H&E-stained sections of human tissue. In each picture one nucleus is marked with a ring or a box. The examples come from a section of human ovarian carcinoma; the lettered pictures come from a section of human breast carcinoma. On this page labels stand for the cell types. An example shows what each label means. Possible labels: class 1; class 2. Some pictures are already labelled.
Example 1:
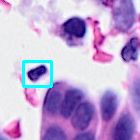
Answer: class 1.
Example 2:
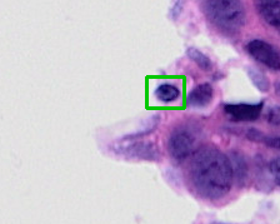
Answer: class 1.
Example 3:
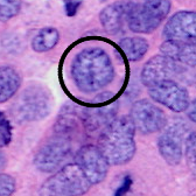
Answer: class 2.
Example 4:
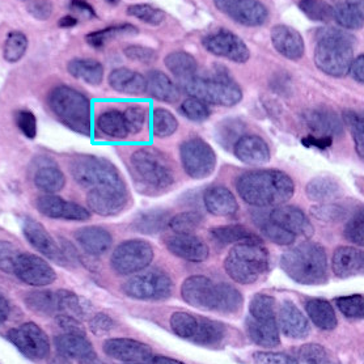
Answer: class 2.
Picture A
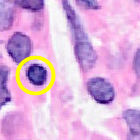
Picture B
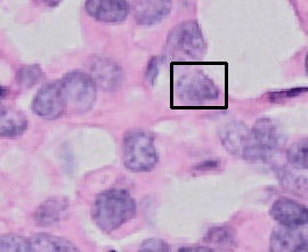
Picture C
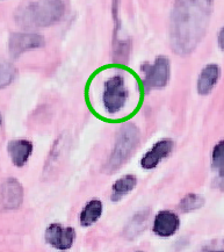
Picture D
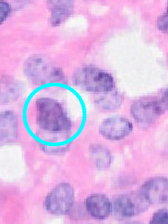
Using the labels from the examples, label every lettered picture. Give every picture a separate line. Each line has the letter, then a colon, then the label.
A: class 1.
B: class 2.
C: class 1.
D: class 2.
